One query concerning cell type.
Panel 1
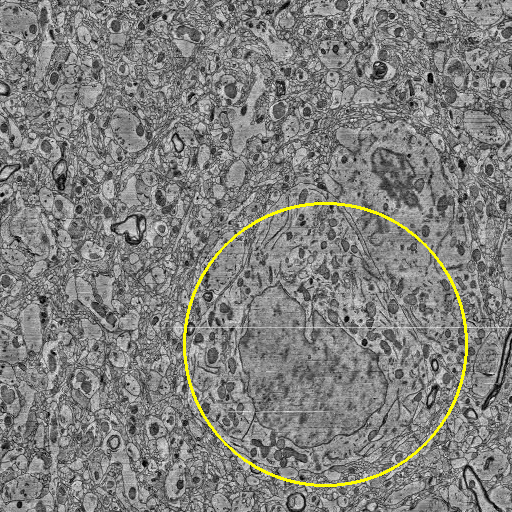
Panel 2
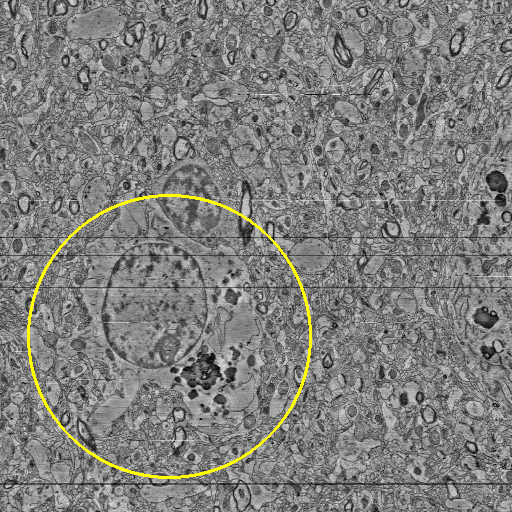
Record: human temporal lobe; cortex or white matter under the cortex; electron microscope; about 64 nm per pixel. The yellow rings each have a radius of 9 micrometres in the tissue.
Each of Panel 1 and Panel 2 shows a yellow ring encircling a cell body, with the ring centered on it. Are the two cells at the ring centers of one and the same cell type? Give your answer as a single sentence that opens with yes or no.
No, the cell centered in Panel 1 and the one in Panel 2 are of two types.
